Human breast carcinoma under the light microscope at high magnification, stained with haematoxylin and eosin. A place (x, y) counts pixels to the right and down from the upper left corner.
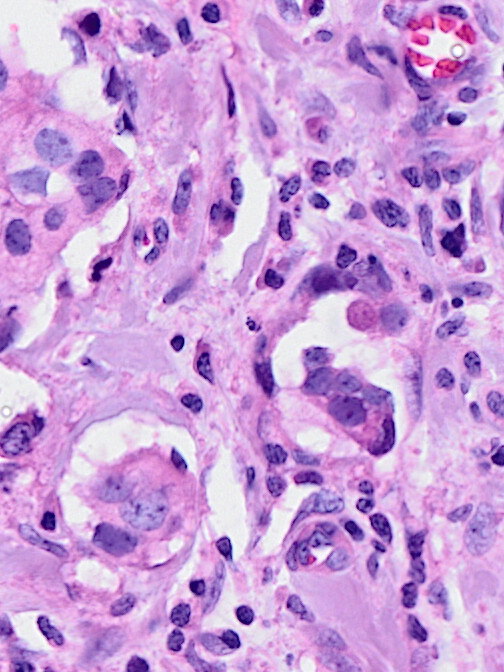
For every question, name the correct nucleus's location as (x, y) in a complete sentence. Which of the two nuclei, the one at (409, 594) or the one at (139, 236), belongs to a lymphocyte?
The nucleus at (409, 594), rather than the other one, belongs to a lymphocyte.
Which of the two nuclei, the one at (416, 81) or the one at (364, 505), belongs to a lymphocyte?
The nucleus at (364, 505) is contained in a lymphocyte.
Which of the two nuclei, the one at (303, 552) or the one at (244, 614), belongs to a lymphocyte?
The nucleus of a lymphocyte lies at (244, 614), not at the other position.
